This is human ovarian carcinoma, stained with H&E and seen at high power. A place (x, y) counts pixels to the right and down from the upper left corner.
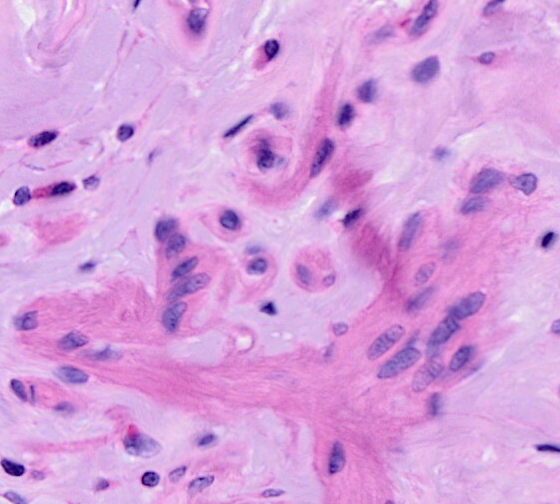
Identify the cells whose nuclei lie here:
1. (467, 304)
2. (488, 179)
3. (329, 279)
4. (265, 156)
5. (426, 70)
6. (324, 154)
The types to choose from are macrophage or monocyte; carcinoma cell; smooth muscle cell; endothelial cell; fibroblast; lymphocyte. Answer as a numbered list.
1. smooth muscle cell
2. smooth muscle cell
3. smooth muscle cell
4. endothelial cell
5. fibroblast
6. smooth muscle cell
